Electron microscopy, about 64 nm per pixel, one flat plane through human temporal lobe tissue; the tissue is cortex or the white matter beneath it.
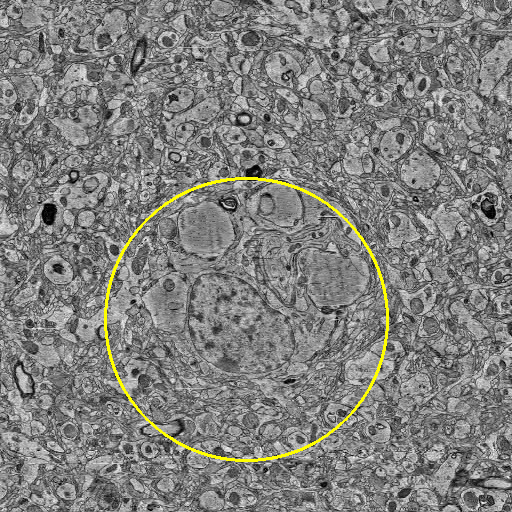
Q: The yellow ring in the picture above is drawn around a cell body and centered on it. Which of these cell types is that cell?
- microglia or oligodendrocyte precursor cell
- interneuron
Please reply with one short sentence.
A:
The cell body at the ring's center belongs to a microglial cell or oligodendrocyte precursor cell.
